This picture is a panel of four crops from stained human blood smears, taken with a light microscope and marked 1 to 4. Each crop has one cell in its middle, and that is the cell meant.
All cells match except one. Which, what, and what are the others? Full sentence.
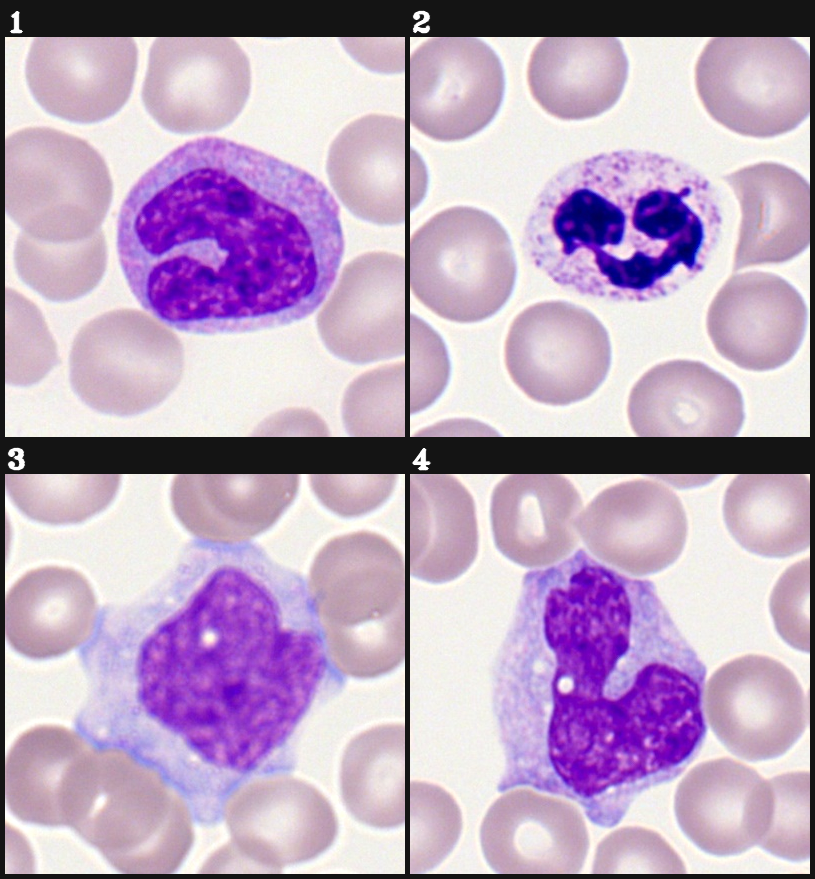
Apart from crop 2, which shows a segmented neutrophil, every crop shows monocytes.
